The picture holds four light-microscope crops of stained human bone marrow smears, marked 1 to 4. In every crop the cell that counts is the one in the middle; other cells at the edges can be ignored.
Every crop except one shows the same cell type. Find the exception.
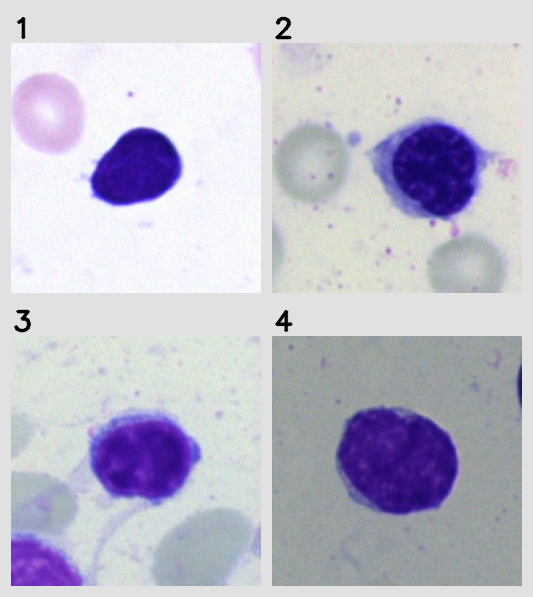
2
